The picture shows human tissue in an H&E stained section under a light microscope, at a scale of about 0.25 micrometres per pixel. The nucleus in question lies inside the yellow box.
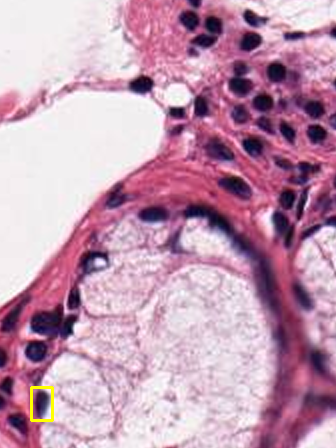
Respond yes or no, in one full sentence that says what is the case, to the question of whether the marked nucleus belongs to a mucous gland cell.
Yes, the marked nucleus is to be read as that of a mucous gland cell.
